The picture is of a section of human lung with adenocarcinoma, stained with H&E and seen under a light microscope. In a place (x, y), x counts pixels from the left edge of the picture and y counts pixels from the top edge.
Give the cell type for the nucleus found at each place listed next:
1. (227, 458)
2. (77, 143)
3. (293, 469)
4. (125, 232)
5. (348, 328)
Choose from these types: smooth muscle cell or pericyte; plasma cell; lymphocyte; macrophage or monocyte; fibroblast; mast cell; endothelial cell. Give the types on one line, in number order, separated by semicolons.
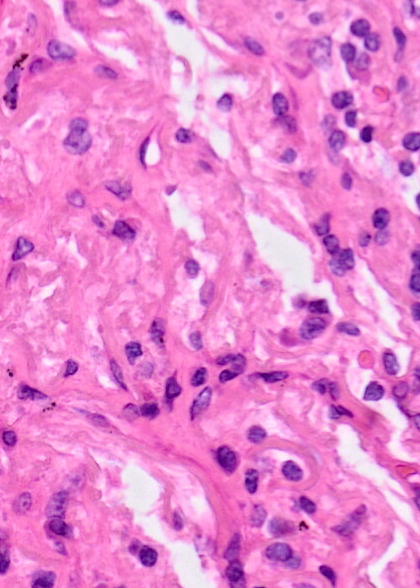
plasma cell; fibroblast; lymphocyte; plasma cell; lymphocyte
